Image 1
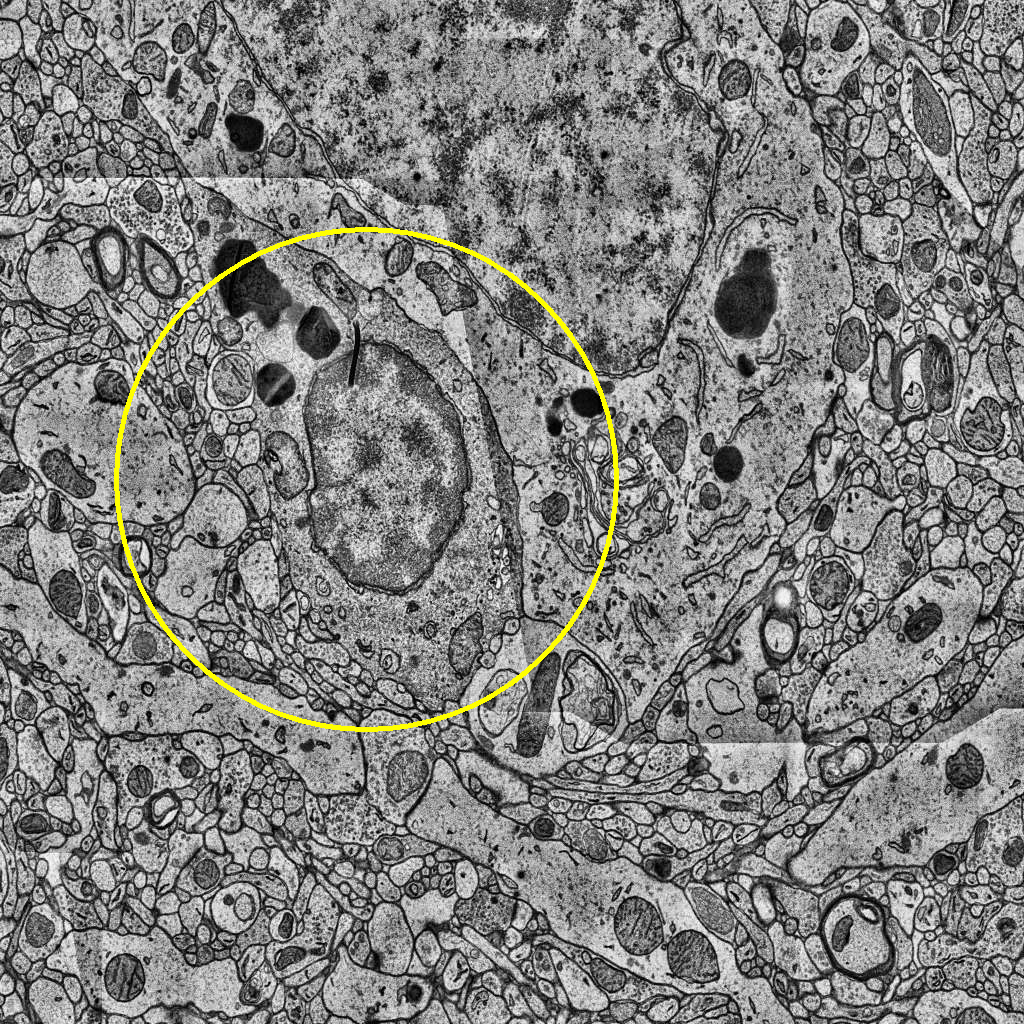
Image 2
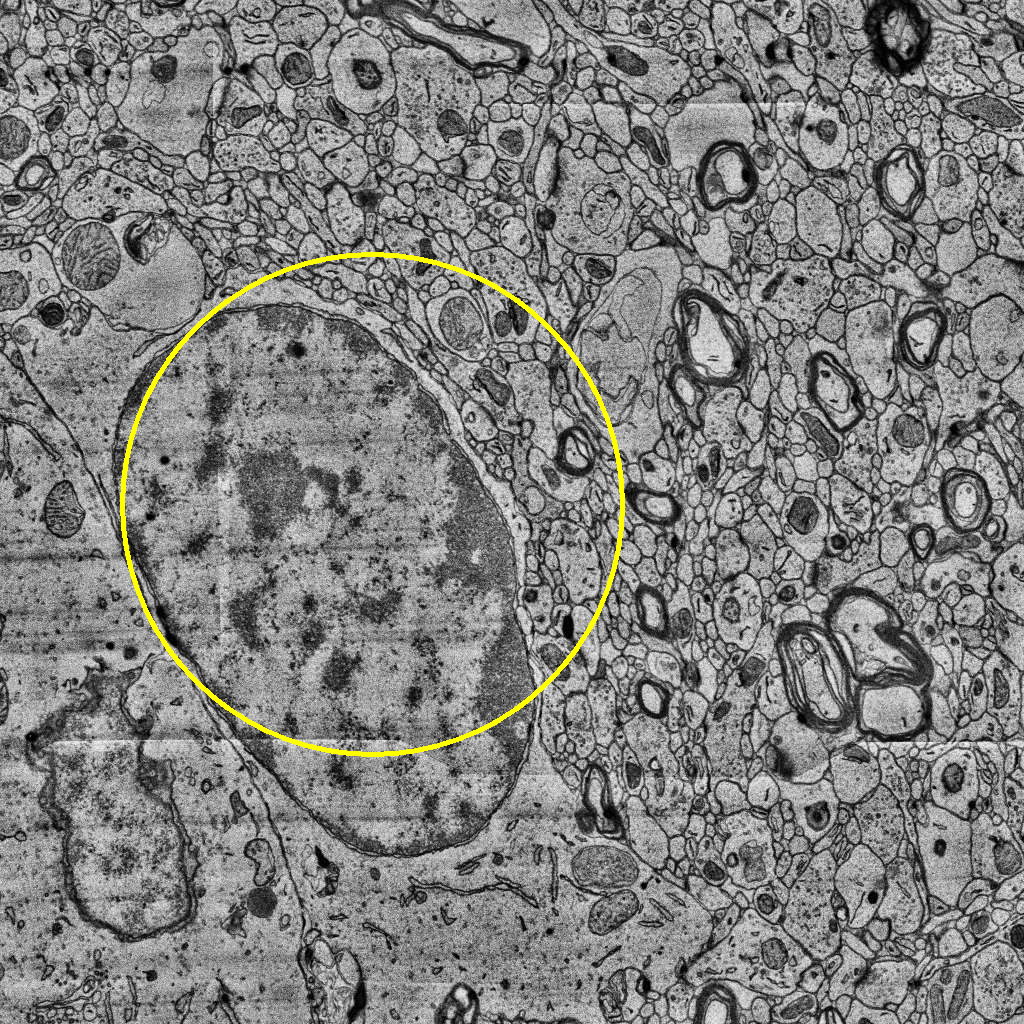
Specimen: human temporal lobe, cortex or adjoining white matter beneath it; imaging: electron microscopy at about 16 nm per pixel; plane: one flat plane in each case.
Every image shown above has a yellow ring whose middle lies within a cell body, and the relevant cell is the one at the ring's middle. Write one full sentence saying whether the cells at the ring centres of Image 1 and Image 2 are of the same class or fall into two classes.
The cell at the ring's centre in Image 1 and its counterpart in Image 2 fall into two classes.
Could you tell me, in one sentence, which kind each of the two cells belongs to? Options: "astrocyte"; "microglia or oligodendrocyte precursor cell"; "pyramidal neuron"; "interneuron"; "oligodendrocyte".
In the first picture it is an oligodendrocyte; in the second it is a microglial cell or oligodendrocyte precursor cell.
